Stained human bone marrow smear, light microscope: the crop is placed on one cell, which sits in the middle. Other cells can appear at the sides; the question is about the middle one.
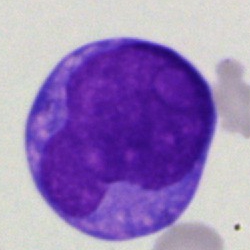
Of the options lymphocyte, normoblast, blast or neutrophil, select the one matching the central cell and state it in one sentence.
To answer, the cell in the center of the crop is a blast.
